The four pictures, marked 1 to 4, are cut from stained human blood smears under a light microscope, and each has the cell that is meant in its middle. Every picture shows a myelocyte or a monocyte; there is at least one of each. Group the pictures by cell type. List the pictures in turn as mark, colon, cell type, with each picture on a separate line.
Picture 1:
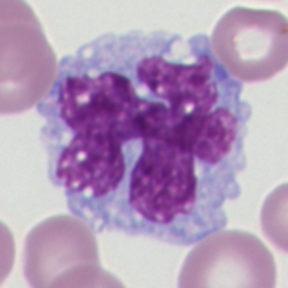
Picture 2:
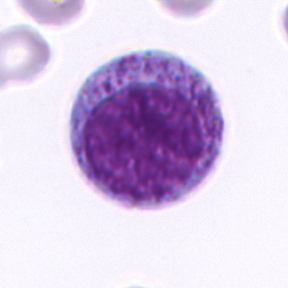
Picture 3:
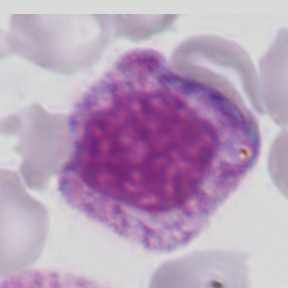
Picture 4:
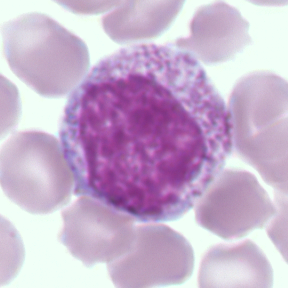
1: monocyte
2: myelocyte
3: myelocyte
4: myelocyte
